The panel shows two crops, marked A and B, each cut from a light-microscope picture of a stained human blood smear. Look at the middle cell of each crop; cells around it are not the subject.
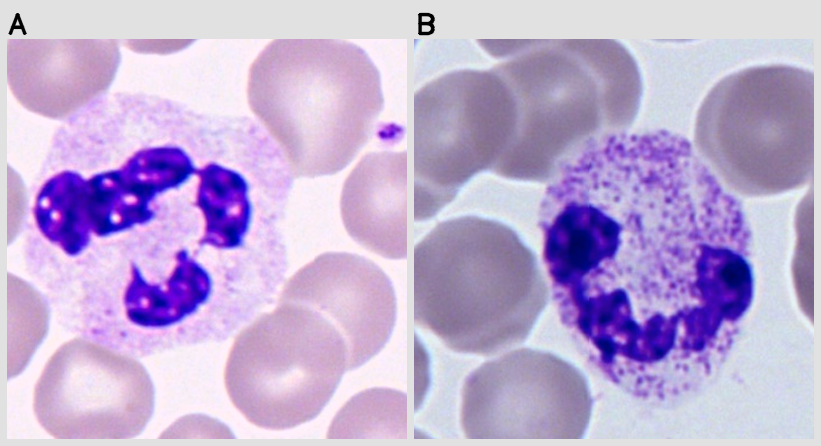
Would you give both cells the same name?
yes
